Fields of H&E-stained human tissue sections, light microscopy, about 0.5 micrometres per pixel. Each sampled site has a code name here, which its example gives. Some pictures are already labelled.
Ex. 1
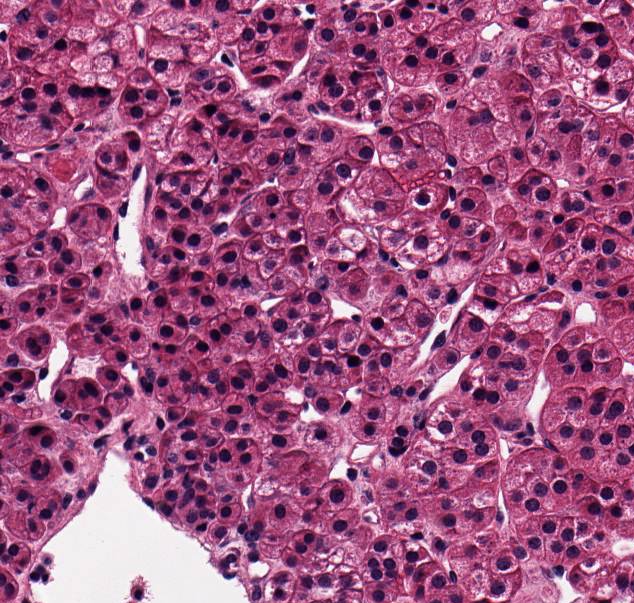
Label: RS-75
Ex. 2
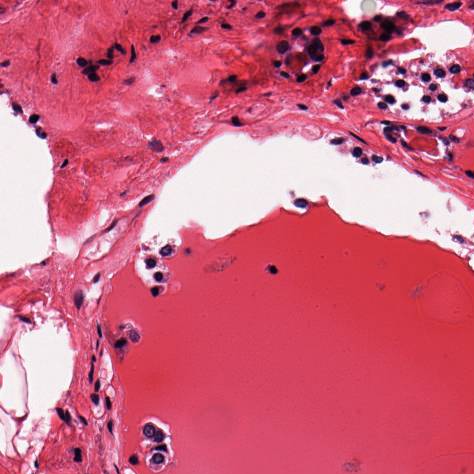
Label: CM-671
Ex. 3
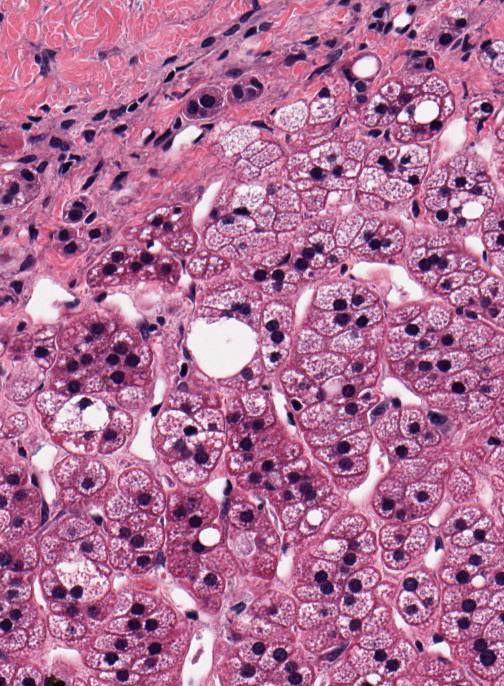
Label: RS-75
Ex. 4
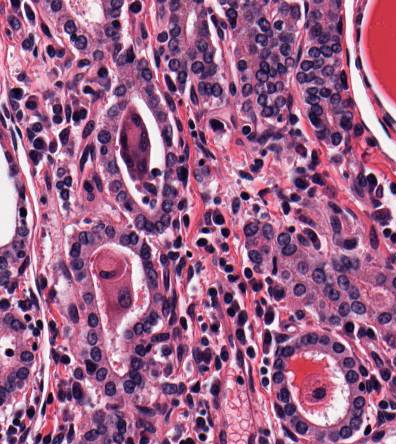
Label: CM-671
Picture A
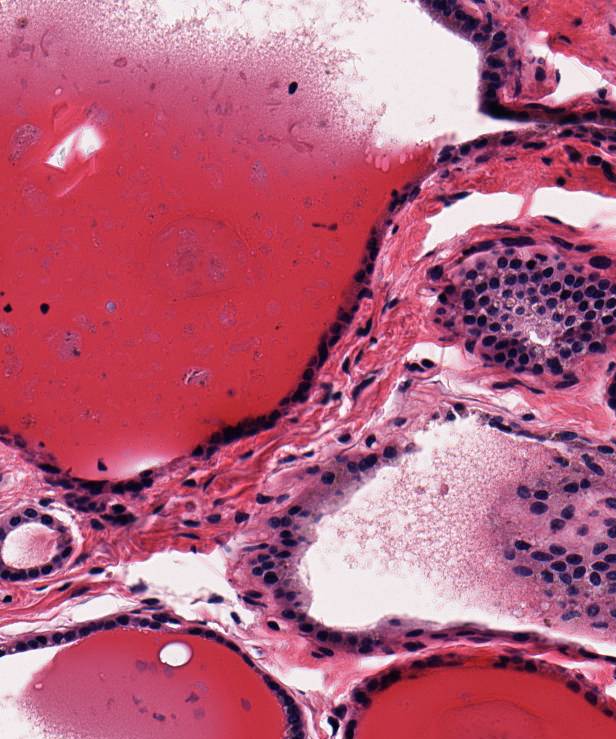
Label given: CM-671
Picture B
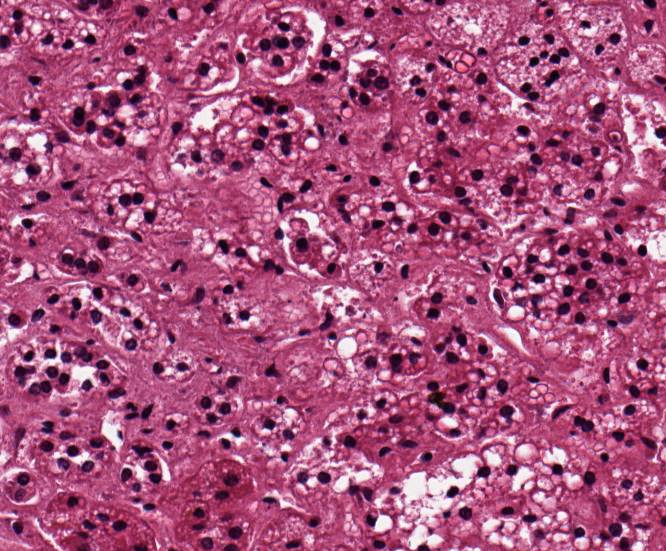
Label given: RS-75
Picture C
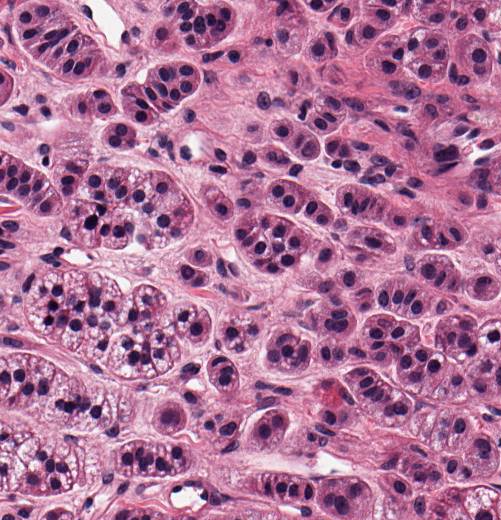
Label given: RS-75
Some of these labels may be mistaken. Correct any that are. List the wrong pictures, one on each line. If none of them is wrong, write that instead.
No label is wrong.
